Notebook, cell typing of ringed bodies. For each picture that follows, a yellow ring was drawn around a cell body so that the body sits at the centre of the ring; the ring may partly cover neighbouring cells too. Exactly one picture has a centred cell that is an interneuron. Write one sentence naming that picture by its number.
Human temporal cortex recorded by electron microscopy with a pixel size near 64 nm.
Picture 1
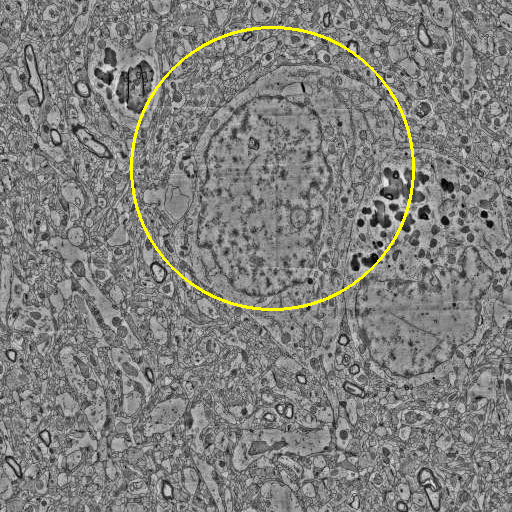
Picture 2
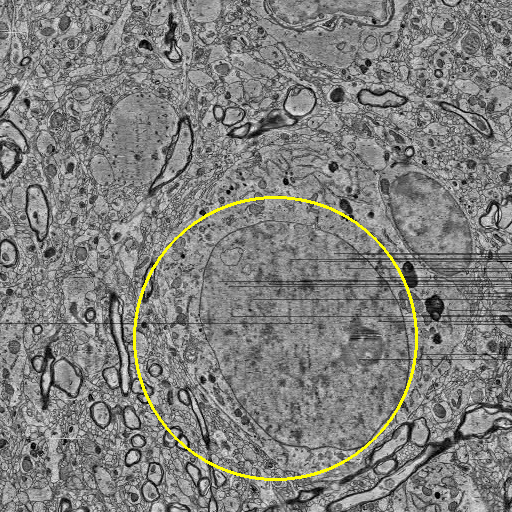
Picture 1 is the one with it at the centre of its ring.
